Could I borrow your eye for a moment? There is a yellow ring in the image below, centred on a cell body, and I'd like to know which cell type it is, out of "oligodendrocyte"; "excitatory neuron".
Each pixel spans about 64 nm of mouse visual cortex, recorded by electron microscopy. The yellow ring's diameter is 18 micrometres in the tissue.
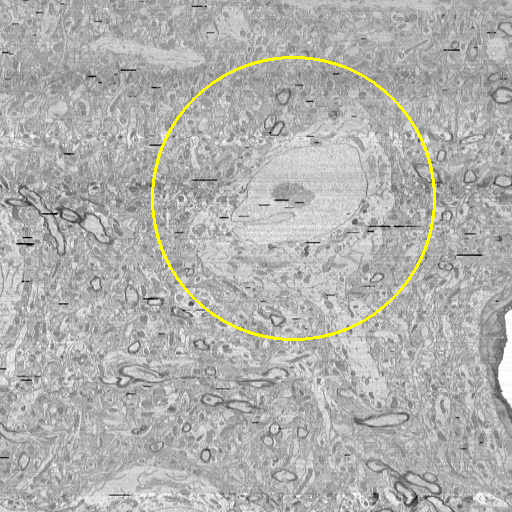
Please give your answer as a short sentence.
The cell body at the centre is that of an excitatory neuron.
